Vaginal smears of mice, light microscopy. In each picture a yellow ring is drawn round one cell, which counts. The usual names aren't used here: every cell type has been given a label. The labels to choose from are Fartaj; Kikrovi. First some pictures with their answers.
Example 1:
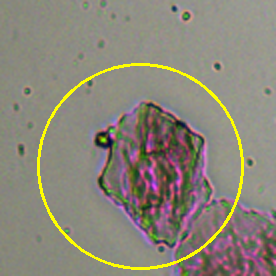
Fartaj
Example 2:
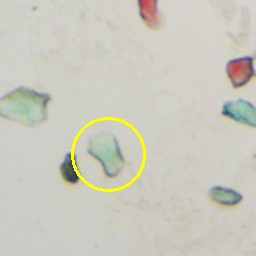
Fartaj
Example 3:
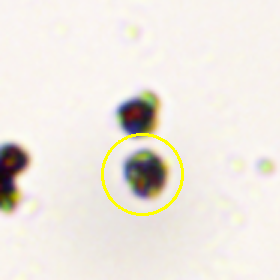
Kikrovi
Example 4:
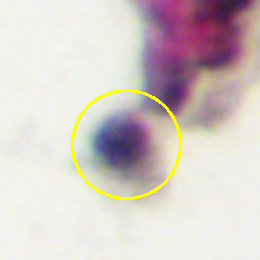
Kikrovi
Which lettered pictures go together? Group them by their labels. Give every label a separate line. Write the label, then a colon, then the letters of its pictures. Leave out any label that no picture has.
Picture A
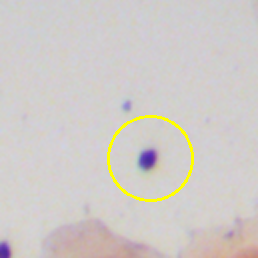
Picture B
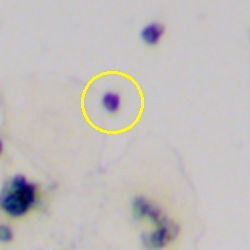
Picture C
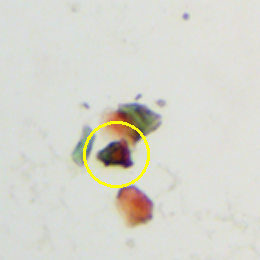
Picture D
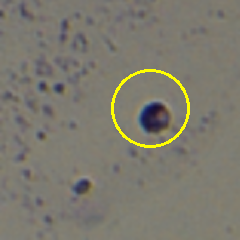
Fartaj: C
Kikrovi: A, B, D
